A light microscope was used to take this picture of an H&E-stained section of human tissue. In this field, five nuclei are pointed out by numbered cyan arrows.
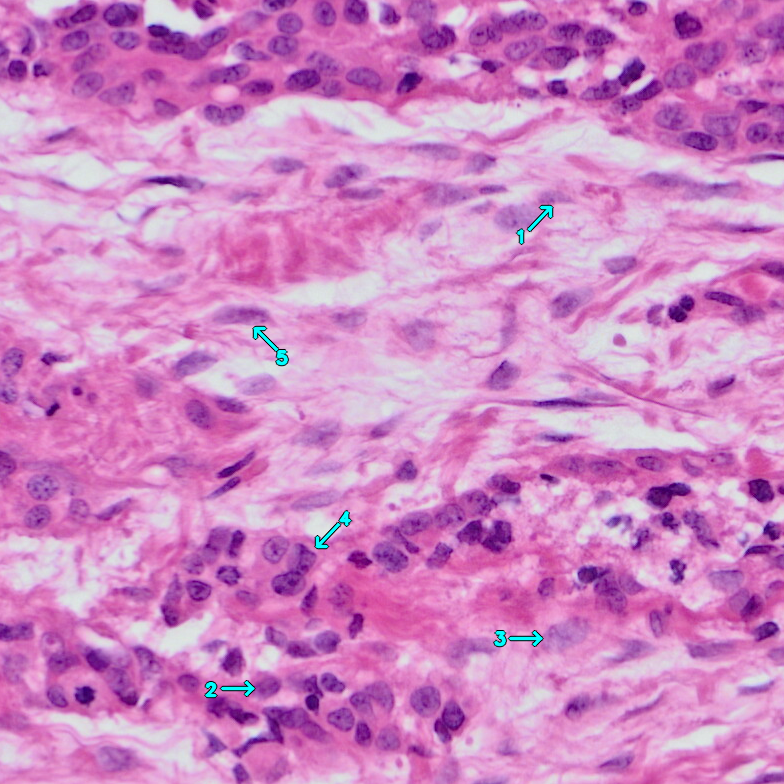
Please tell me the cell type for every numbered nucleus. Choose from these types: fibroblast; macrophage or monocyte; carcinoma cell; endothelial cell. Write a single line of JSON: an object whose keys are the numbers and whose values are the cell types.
{"1": "fibroblast", "2": "carcinoma cell", "3": "fibroblast", "4": "carcinoma cell", "5": "fibroblast"}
